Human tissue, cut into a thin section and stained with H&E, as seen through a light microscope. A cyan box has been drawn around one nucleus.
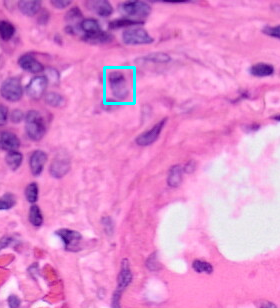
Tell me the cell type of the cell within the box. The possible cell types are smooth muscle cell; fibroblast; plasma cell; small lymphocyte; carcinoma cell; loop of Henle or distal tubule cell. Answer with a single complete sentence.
Assigned to a cell type, the cell within the box is a plasma cell.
